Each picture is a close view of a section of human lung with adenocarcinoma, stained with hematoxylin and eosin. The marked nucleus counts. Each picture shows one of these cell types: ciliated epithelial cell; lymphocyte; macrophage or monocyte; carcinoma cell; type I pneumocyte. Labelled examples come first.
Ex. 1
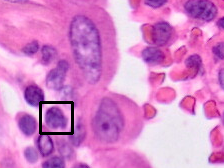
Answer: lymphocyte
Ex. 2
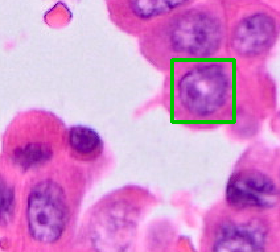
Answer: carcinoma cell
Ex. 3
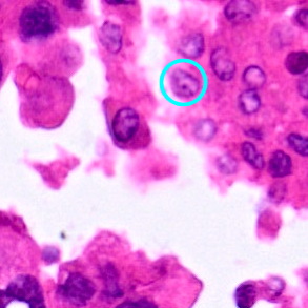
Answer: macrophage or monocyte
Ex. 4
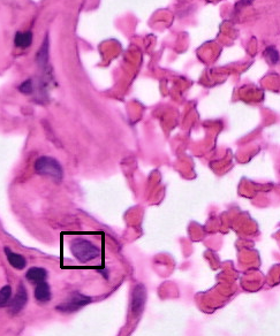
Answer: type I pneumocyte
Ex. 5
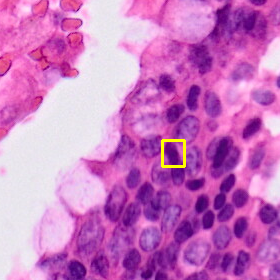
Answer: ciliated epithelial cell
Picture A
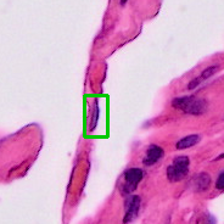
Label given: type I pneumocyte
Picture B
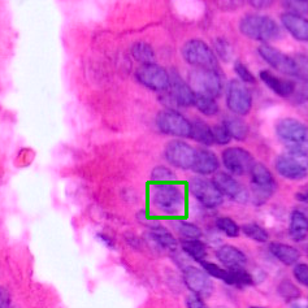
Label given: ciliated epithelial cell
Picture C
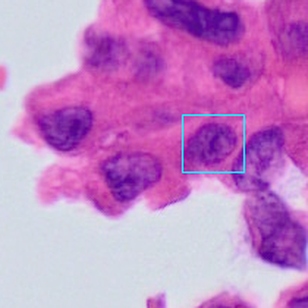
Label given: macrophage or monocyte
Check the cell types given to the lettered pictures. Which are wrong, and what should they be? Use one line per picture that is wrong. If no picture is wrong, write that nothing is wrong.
C: change macrophage or monocyte to carcinoma cell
